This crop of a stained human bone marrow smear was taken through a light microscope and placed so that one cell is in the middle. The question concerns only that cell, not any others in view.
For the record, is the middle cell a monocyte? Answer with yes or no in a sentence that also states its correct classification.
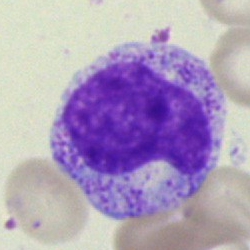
No, in this crop the central cell is a myelocyte instead of a monocyte.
